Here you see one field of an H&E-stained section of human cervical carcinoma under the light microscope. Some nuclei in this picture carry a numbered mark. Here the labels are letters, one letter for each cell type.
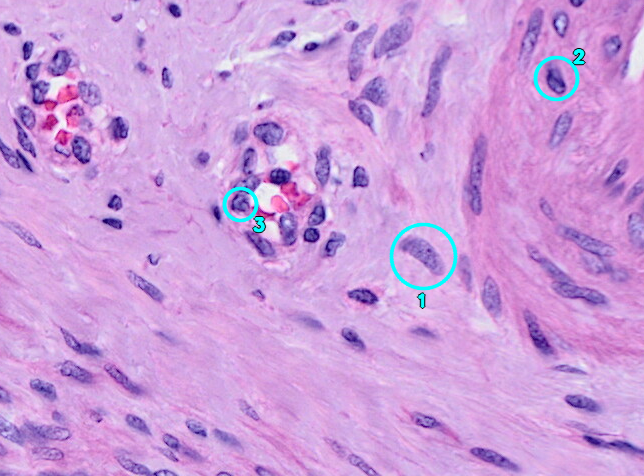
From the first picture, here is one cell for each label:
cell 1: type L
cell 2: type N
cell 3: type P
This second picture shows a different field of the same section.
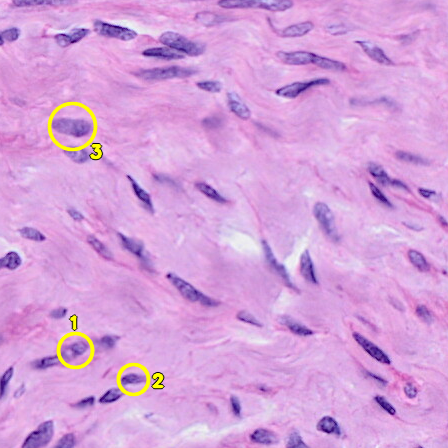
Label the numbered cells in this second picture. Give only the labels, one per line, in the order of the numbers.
type N
type L
type L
